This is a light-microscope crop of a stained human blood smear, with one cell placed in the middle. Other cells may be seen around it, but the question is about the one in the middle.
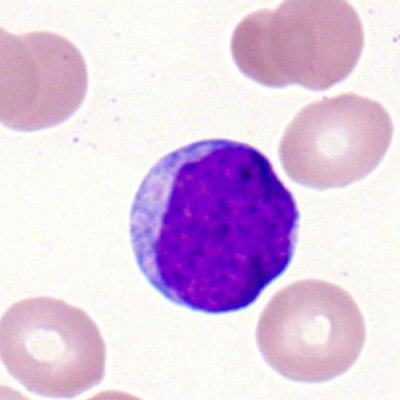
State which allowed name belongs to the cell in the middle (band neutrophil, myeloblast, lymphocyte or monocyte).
lymphocyte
